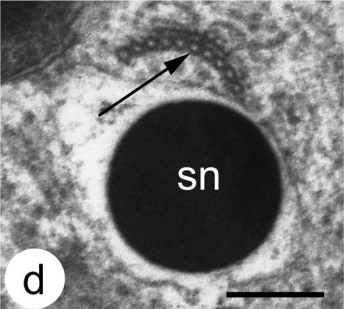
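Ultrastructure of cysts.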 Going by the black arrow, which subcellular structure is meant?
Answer: Remnants of the microtubular manchette.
